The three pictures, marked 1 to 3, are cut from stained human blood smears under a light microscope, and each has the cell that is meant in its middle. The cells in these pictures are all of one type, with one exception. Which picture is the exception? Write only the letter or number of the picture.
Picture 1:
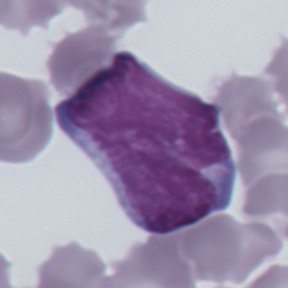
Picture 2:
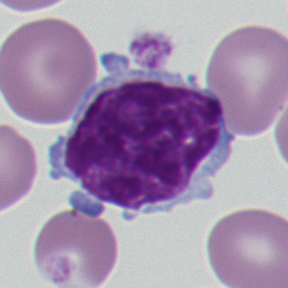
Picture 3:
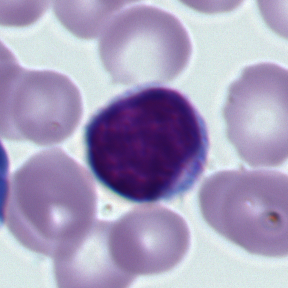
1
